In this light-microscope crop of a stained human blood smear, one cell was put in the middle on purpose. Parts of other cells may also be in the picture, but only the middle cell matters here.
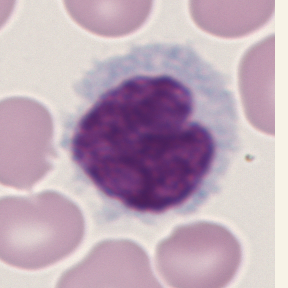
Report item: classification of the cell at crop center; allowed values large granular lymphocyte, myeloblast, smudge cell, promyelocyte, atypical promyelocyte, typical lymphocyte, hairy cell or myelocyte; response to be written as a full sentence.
Where the crop is centred, there is a hairy cell.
